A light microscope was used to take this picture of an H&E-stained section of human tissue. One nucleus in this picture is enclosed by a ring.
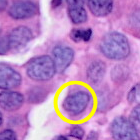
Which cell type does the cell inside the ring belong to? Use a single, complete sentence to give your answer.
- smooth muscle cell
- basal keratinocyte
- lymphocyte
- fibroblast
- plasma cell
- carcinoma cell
Students should answer that the cell inside the ring is a carcinoma cell.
